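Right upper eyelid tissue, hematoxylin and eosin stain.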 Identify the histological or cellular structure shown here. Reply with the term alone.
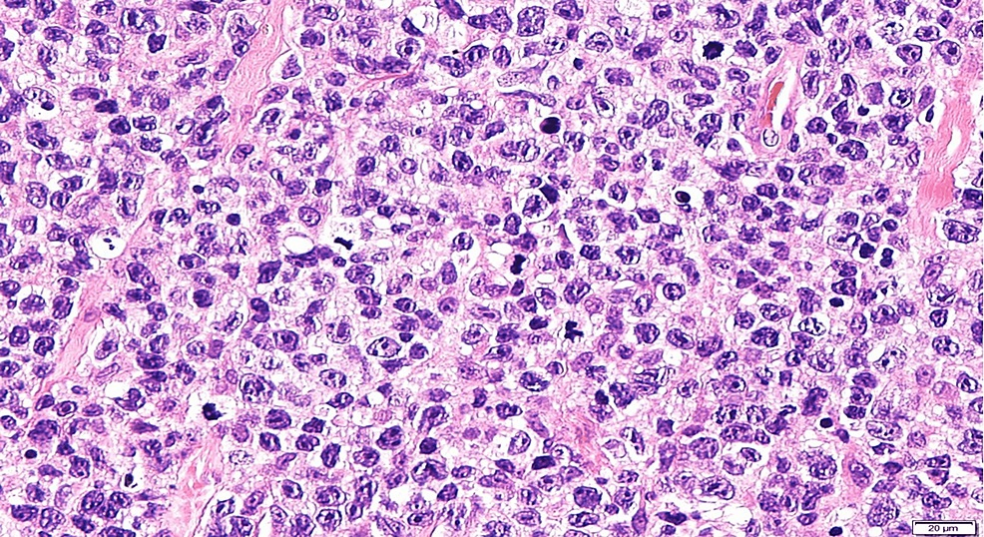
Mitotic figures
